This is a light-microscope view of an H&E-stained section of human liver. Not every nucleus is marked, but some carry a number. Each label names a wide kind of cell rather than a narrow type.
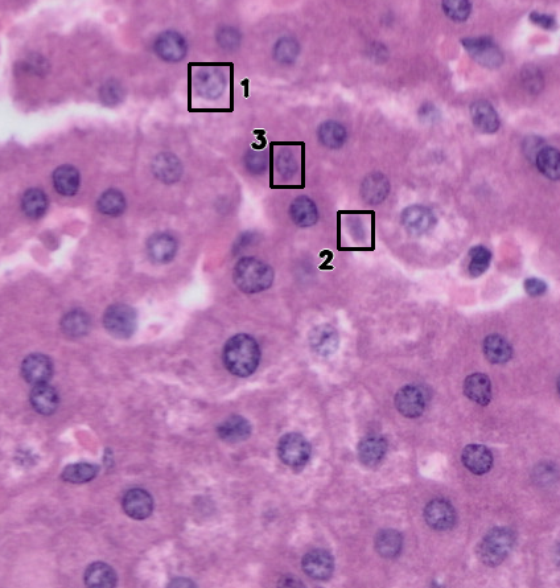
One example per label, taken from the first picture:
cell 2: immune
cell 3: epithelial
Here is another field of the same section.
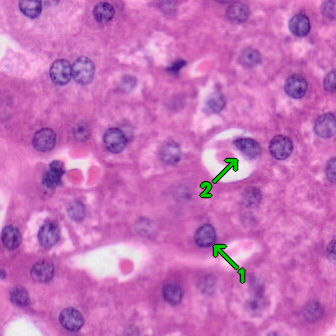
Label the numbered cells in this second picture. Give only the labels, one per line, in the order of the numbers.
epithelial
immune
